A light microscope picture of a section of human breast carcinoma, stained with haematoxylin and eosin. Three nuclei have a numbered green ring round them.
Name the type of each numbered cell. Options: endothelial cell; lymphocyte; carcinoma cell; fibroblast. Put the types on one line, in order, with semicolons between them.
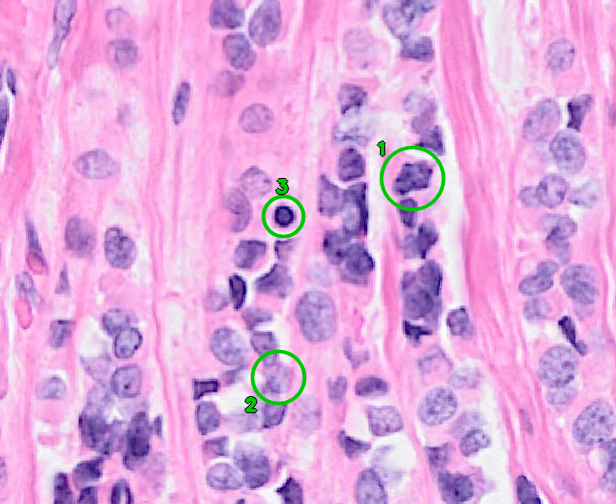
carcinoma cell; carcinoma cell; lymphocyte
